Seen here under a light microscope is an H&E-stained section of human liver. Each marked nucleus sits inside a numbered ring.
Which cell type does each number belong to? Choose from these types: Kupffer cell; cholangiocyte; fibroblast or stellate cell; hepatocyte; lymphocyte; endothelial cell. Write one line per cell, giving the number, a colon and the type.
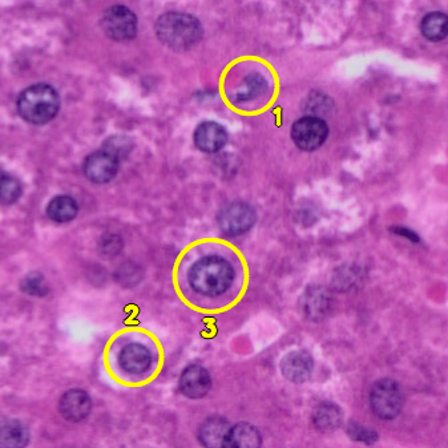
1: endothelial cell
2: hepatocyte
3: hepatocyte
